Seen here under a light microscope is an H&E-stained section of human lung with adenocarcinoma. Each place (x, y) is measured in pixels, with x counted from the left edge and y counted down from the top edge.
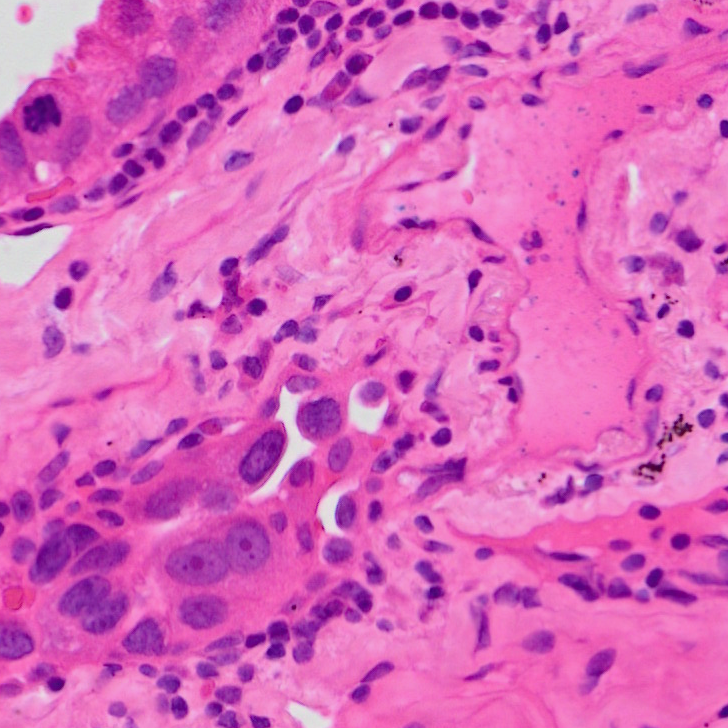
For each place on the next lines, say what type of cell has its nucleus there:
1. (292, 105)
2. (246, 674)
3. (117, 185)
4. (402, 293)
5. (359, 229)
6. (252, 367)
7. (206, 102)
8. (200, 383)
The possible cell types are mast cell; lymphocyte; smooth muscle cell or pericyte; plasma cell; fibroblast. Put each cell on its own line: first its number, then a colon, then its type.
1: lymphocyte
2: lymphocyte
3: lymphocyte
4: mast cell
5: smooth muscle cell or pericyte
6: plasma cell
7: lymphocyte
8: fibroblast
